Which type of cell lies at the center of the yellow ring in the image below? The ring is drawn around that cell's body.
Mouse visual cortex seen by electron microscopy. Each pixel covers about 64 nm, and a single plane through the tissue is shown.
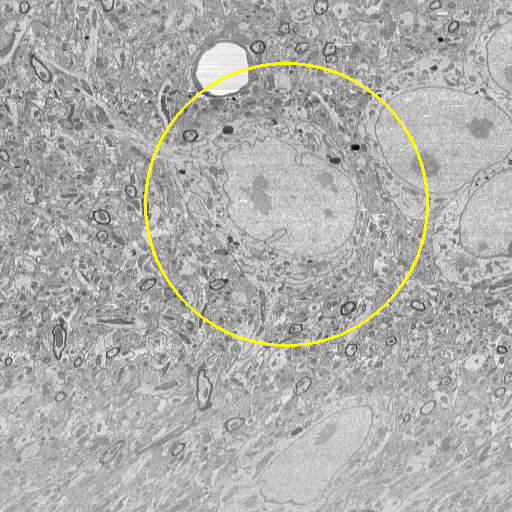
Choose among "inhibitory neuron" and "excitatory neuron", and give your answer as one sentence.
The cell body at the center belongs to an inhibitory neuron.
